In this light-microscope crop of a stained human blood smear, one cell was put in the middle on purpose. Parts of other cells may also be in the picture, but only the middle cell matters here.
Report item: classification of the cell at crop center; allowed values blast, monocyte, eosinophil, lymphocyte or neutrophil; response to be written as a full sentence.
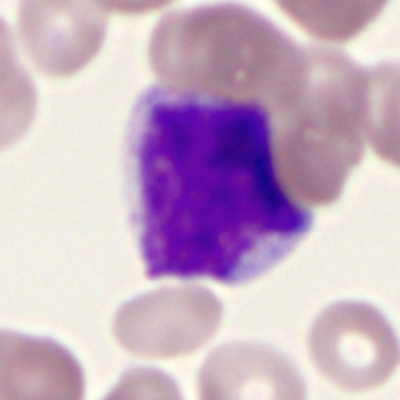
In the crop, the cell of interest at the centre is a blast.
